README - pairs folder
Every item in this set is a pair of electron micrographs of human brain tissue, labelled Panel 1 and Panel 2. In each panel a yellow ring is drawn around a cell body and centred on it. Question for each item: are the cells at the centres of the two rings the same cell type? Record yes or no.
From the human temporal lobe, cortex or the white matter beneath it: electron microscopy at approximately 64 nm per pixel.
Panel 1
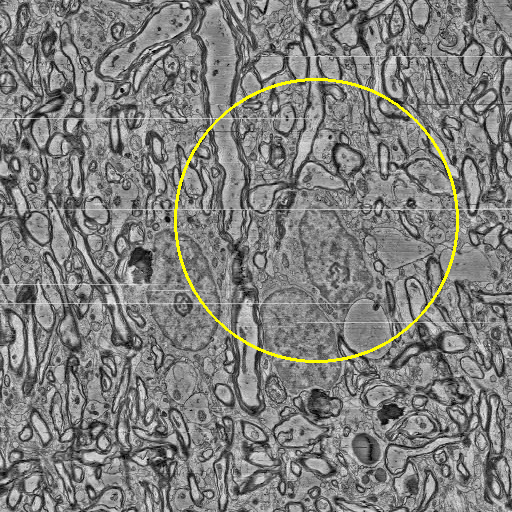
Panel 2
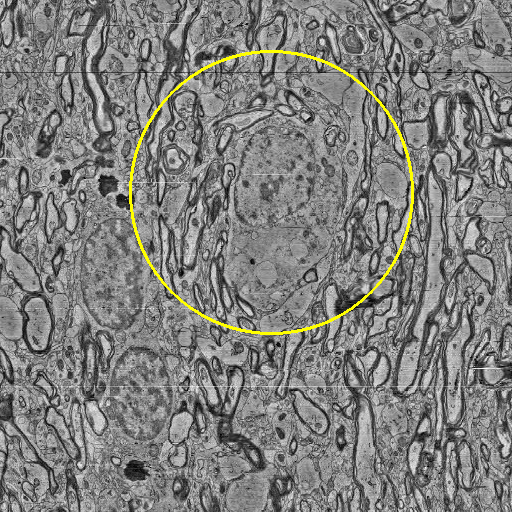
no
